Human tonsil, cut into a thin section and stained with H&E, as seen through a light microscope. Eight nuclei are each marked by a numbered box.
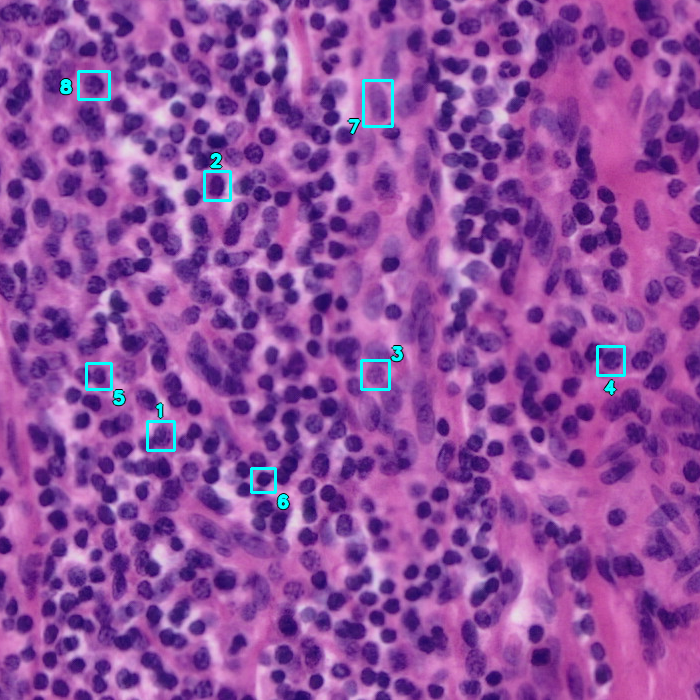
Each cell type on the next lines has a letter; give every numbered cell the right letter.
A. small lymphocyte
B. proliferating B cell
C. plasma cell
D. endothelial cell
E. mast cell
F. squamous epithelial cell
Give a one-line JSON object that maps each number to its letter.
{"1": "C", "2": "C", "3": "D", "4": "C", "5": "C", "6": "A", "7": "D", "8": "C"}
